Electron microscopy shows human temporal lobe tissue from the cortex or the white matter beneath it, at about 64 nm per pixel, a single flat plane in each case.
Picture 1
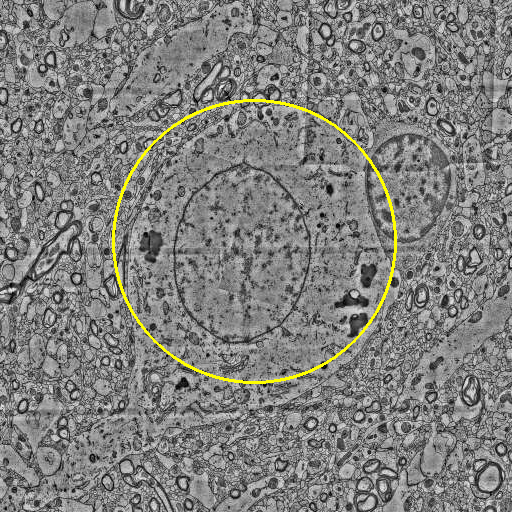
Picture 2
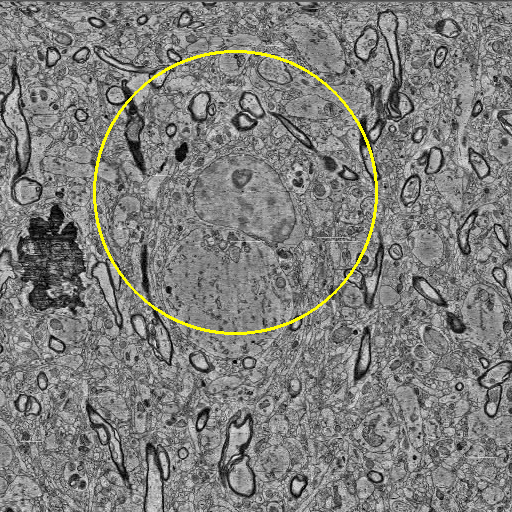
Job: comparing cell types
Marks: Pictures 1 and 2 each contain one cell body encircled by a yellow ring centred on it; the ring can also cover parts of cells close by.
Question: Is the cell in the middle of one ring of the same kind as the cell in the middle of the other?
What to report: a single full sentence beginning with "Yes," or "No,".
No, the cell at the ring centre in Picture 1 and its partner in Picture 2 are of two kinds.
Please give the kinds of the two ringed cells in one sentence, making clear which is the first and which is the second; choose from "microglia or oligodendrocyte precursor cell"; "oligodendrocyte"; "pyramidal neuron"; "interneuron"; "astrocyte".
In the second picture the ringed cell is an oligodendrocyte; in the first it is a pyramidal neuron.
